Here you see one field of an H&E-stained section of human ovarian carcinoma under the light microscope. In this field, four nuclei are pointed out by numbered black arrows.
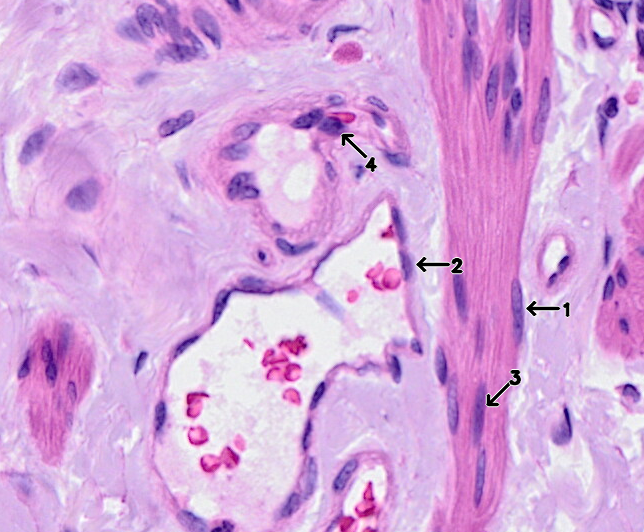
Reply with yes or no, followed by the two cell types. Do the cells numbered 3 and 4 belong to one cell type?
No, cell 3 is a smooth muscle cell, but cell 4 is an endothelial cell.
